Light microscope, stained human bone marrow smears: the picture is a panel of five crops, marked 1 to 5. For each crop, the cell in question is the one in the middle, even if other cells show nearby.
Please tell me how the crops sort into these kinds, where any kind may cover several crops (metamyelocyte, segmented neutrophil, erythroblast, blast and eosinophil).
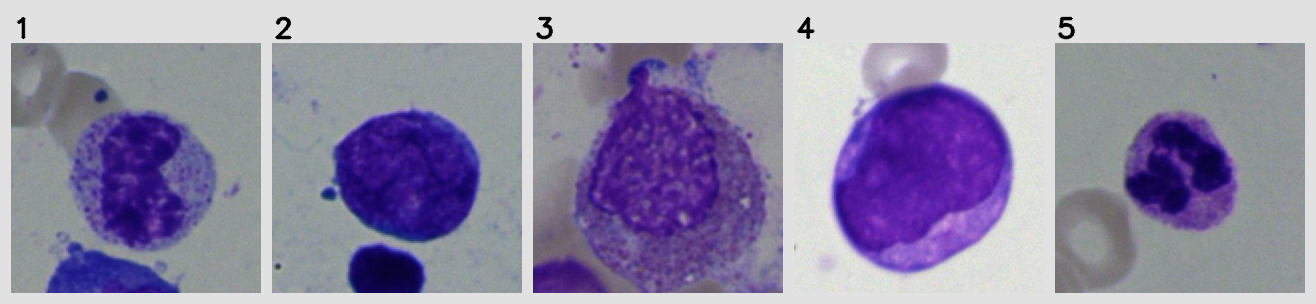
1: metamyelocyte
2: blast
3: eosinophil
4: blast
5: segmented neutrophil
